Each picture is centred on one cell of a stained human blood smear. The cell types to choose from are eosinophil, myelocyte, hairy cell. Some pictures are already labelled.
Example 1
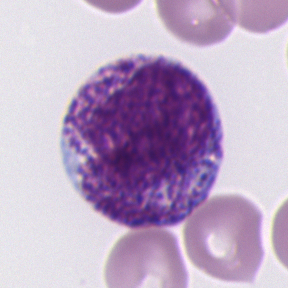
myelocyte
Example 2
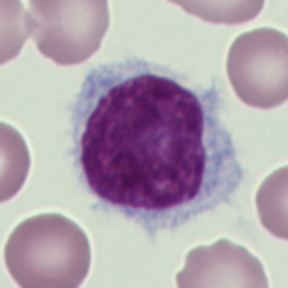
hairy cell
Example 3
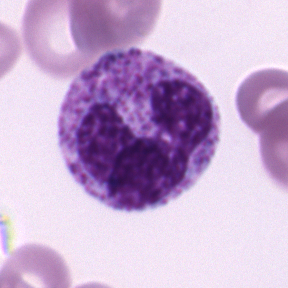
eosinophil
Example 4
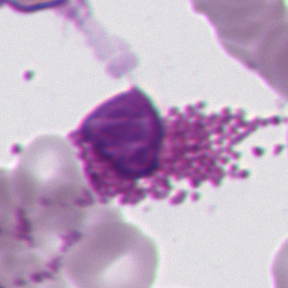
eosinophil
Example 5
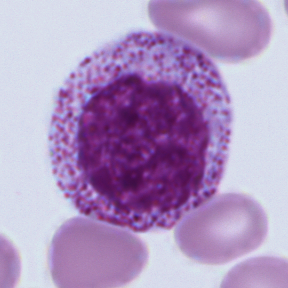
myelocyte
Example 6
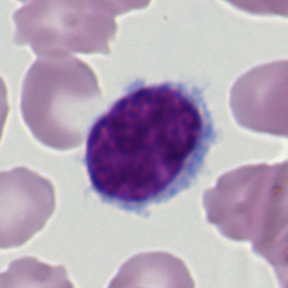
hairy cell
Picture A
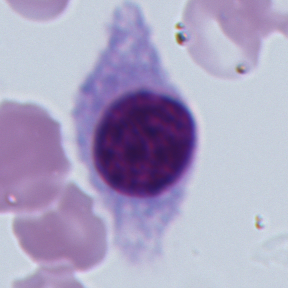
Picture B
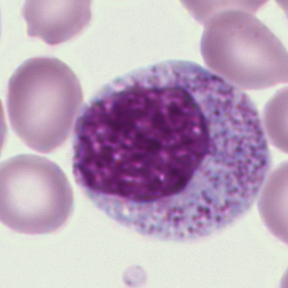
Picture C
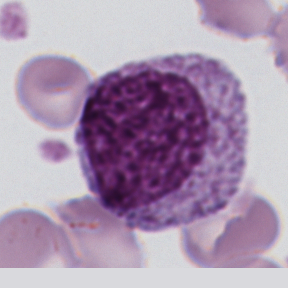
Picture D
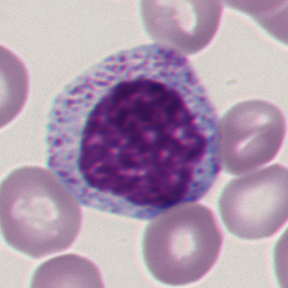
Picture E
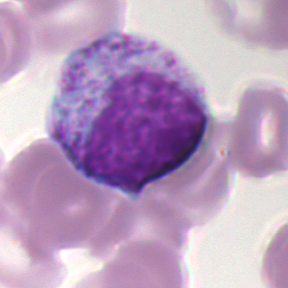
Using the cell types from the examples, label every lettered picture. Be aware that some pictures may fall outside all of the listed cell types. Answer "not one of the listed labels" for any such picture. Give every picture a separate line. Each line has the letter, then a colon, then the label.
A: hairy cell
B: myelocyte
C: myelocyte
D: myelocyte
E: myelocyte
